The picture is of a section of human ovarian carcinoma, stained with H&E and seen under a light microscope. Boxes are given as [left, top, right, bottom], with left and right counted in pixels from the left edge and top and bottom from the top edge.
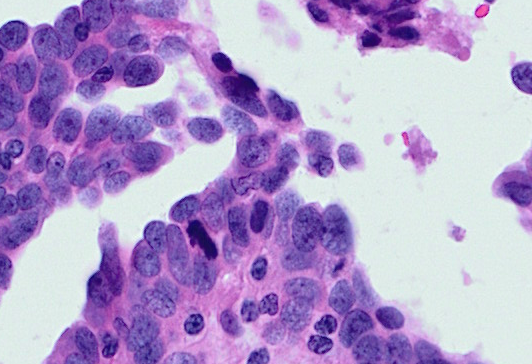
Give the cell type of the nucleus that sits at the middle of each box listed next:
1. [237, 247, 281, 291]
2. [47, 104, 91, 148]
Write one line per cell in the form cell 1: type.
cell 1: lymphocyte
cell 2: carcinoma cell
